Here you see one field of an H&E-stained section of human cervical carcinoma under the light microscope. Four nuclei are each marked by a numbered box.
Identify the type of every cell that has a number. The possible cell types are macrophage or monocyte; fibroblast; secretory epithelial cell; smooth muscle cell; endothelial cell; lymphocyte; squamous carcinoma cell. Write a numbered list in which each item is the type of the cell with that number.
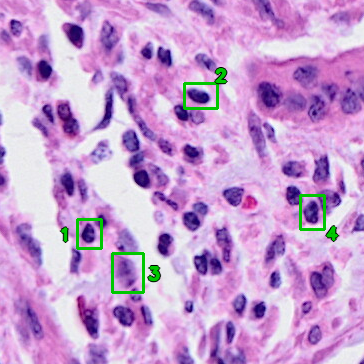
1. lymphocyte
2. lymphocyte
3. macrophage or monocyte
4. lymphocyte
